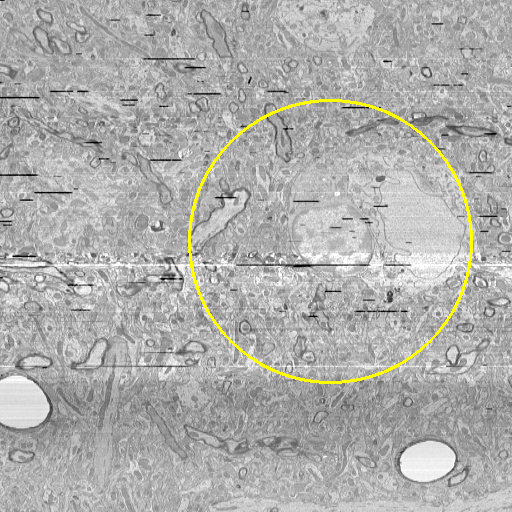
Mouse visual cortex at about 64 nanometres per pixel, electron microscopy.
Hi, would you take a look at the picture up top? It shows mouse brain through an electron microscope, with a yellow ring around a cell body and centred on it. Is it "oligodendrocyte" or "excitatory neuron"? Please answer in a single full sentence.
The best fit for the cell in the middle of the ring is an oligodendrocyte, I reckon.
